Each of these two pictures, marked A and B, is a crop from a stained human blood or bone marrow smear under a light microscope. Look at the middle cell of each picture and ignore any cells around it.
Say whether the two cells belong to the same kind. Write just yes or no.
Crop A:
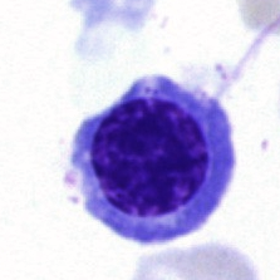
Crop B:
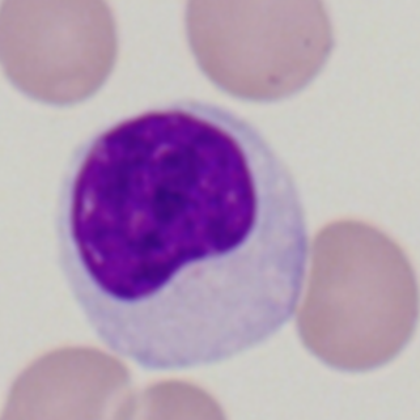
no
